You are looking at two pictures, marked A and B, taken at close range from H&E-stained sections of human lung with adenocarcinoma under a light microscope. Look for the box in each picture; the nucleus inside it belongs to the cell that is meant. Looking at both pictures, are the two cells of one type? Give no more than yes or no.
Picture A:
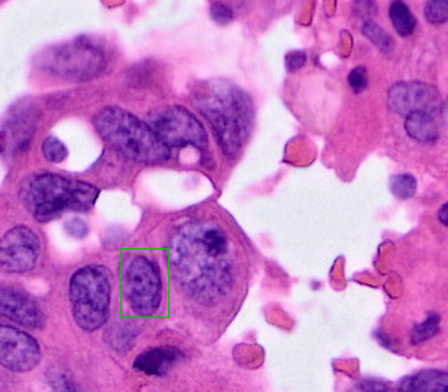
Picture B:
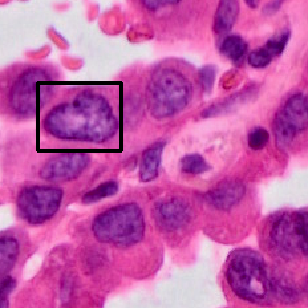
yes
